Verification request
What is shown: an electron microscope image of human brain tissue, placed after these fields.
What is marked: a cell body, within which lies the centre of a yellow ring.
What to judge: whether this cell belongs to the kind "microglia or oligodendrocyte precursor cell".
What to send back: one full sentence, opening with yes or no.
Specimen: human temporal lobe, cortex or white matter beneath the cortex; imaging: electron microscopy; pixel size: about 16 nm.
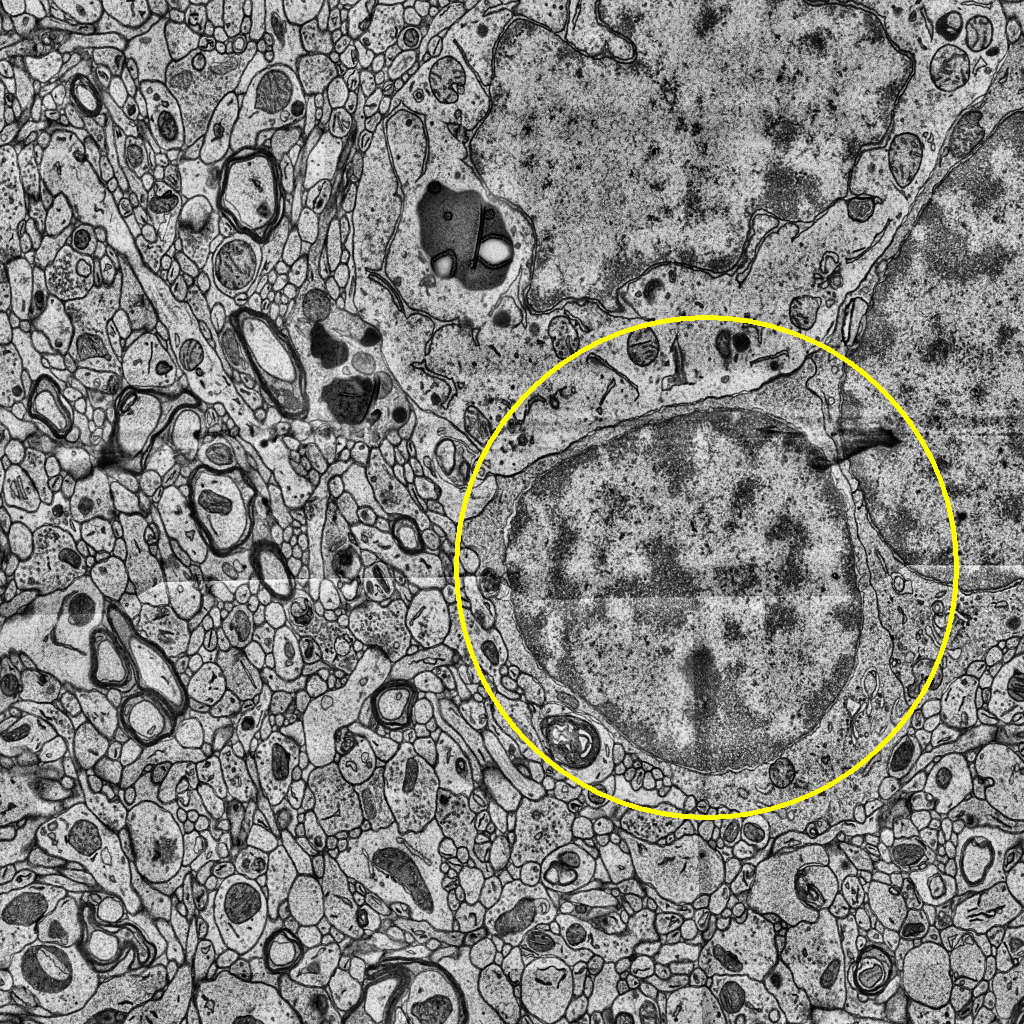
No, the cell whose body holds the centre of the yellow ring in the picture is of a different kind.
